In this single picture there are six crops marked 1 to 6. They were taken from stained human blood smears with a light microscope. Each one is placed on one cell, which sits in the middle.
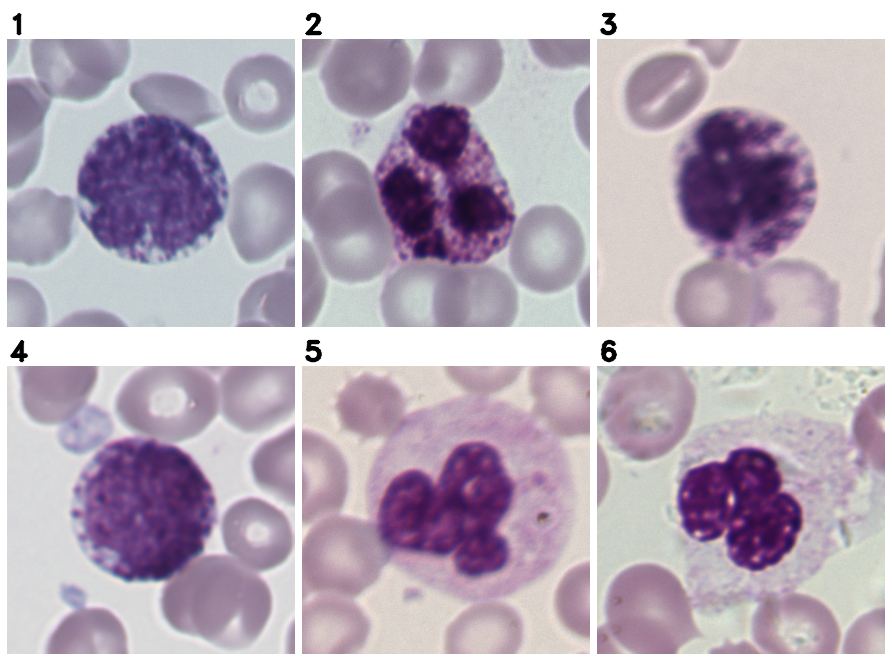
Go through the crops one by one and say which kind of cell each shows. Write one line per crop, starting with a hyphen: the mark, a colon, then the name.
- 1: basophil
- 2: basophil
- 3: basophil
- 4: basophil
- 5: neutrophil
- 6: neutrophil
